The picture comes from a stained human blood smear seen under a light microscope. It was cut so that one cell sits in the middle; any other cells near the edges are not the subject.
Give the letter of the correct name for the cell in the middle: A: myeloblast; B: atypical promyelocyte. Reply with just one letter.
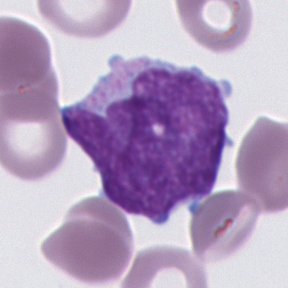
B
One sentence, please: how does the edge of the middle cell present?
Along its border, the cell is uneven, whether by ragged stretches or by projections.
